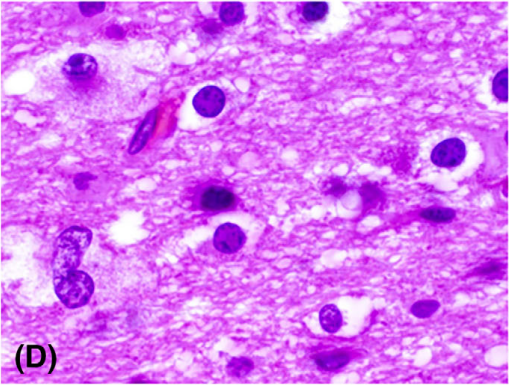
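High-magnification view of brain tissue containing bizarre astrocytes and oligodendrocytes with atypical nuclei in a pink, finely vacuolated neuropil. One cell at lower left has a big folded, lobulated nucleus with coarse chromatin. Smaller cells have round dark purple nuclei, often surrounded by a clear halo. The background neuropil is loosened by many small clear vacuoles.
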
